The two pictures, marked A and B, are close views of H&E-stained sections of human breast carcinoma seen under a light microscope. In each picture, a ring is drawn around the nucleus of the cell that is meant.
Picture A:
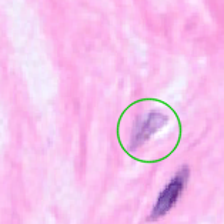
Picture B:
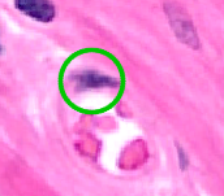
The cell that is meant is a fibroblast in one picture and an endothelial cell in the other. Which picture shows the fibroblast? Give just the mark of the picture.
A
